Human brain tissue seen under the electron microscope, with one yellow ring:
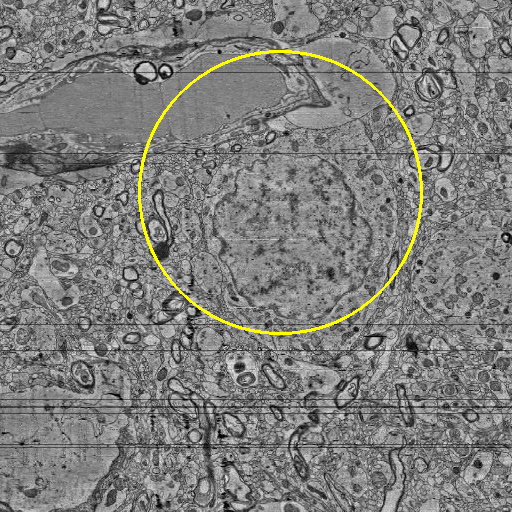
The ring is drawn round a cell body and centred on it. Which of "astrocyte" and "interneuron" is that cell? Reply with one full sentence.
The picture shows an interneuron at the very centre of the yellow ring.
